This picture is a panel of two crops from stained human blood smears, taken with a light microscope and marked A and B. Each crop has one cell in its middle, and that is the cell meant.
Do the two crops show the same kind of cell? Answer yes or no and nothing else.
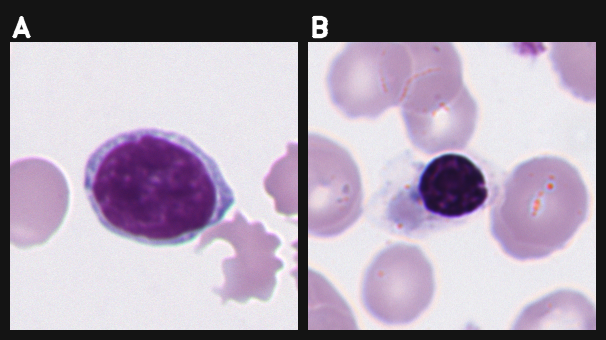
no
